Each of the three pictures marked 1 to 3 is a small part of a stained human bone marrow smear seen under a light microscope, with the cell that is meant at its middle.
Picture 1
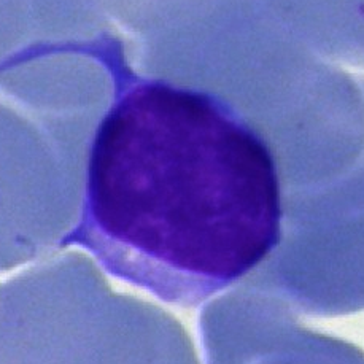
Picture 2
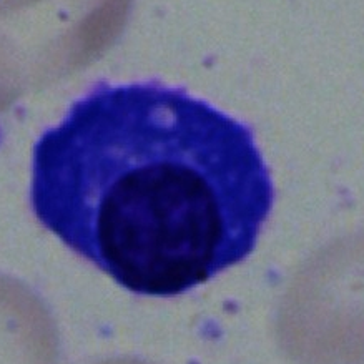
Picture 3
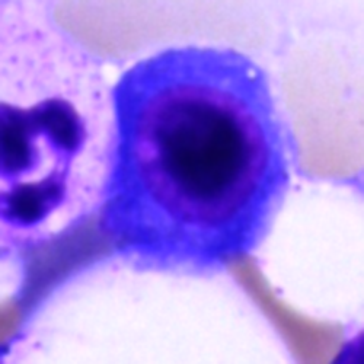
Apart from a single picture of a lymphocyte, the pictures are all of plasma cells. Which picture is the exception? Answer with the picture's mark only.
1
